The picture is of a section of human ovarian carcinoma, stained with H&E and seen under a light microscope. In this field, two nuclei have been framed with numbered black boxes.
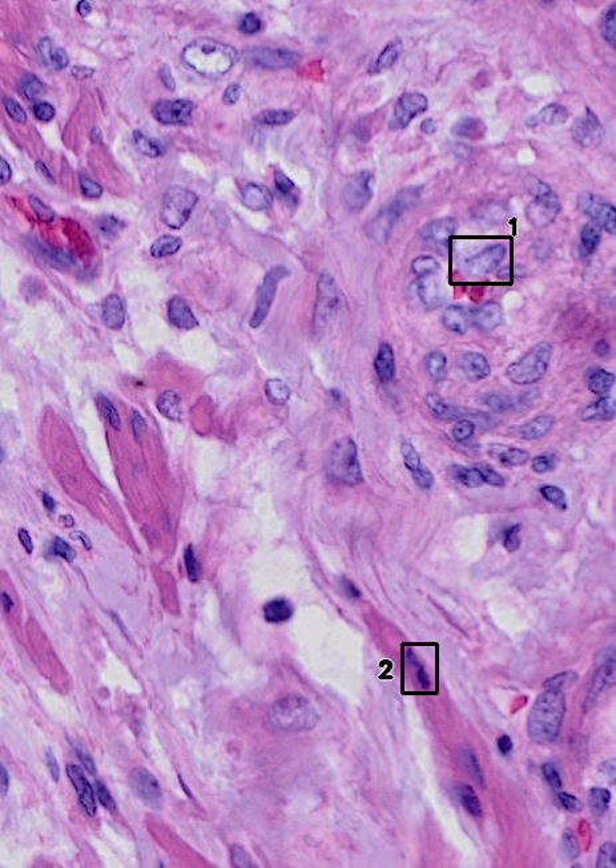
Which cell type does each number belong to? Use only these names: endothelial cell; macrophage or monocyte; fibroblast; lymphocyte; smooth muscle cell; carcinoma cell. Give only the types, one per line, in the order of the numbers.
endothelial cell
smooth muscle cell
